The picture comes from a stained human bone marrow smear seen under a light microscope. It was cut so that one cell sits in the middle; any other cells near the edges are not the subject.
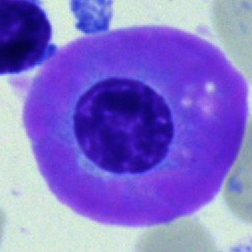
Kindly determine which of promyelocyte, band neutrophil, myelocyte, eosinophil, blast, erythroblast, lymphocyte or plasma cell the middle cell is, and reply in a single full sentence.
Of the cells in this crop, the central one is a plasma cell.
